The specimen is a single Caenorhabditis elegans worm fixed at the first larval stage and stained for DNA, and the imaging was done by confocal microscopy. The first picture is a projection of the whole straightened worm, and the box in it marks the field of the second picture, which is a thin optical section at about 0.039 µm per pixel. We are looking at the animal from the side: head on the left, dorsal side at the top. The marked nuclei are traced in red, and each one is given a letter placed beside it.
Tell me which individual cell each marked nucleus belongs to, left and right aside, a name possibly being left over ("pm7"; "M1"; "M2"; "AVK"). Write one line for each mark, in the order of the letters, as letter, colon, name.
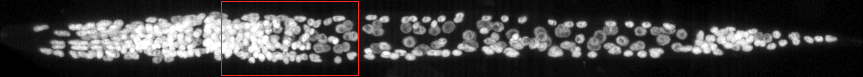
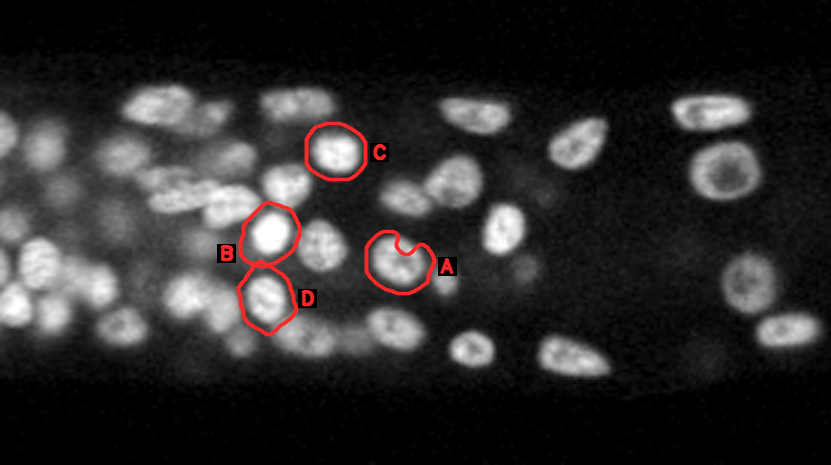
A: pm7
B: M2
C: M1
D: AVK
